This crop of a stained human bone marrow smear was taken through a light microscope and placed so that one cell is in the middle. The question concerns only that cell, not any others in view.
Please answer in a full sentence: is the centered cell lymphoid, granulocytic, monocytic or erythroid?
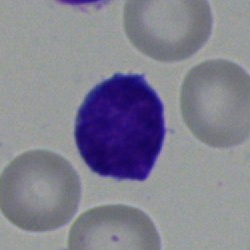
The lineage of the cell at the center of the crop is lymphoid.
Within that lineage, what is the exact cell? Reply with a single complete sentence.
The centrally positioned cell in the crop represents a lymphocyte.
